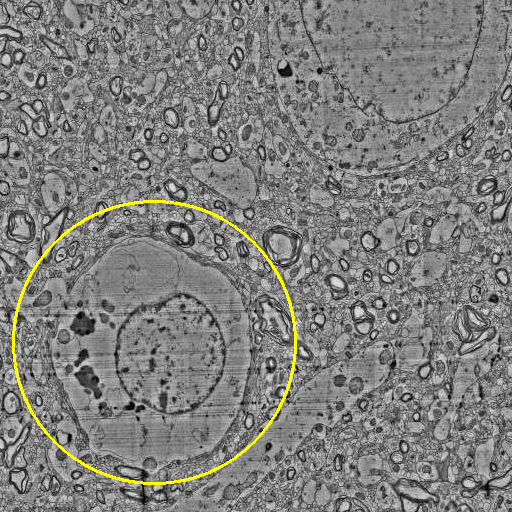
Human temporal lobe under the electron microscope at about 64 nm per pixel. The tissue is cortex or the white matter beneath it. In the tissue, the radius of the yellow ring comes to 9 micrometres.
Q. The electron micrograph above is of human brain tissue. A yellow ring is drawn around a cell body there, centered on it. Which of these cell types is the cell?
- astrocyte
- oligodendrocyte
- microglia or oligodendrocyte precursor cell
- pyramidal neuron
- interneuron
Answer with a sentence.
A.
The cell under the ring's center is an astrocyte.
